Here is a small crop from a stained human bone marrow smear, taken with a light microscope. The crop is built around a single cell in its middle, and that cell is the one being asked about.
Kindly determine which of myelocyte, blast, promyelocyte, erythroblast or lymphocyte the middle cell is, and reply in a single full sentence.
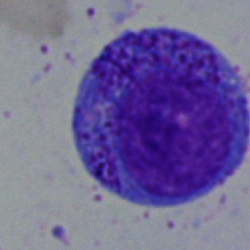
Seen at the centre of the crop is a promyelocyte.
